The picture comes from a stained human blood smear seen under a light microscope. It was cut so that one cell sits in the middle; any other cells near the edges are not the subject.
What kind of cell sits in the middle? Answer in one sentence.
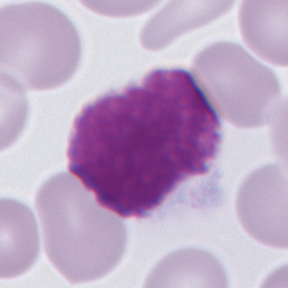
In short, the cell at the center is a smudge cell.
